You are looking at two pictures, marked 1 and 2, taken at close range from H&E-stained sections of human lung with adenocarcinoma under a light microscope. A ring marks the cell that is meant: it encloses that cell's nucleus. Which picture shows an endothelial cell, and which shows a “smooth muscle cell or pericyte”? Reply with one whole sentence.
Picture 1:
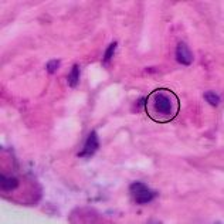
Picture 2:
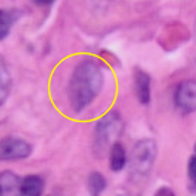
Picture 1 shows a “smooth muscle cell or pericyte” and picture 2 shows an endothelial cell.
